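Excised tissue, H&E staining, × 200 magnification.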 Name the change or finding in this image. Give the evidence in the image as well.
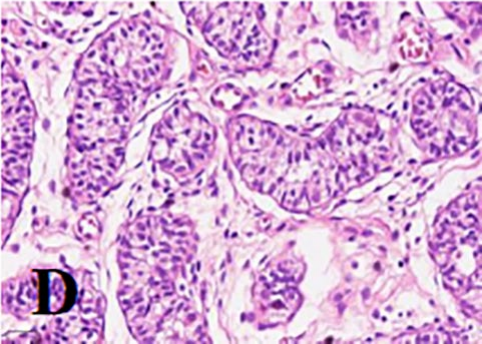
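Small rounded tubules lined by crowded cells with no open lumen. No maturing spermatogenic layers are seen. Loose pale stroma with vessels lies between tubules.
Hence: Underdeveloped, small convoluted seminiferous tubules.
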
